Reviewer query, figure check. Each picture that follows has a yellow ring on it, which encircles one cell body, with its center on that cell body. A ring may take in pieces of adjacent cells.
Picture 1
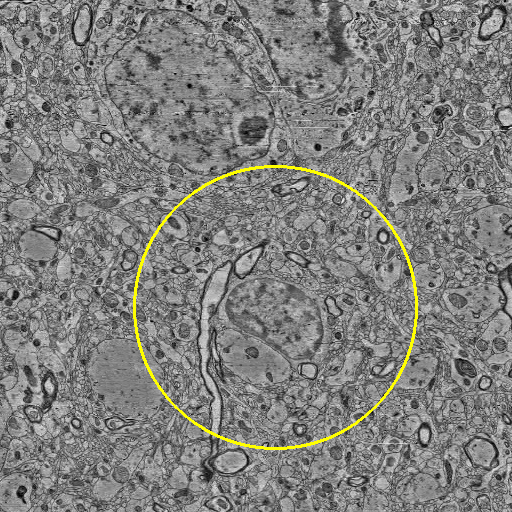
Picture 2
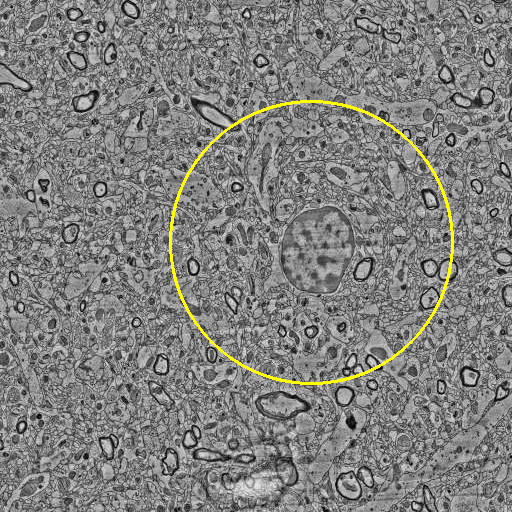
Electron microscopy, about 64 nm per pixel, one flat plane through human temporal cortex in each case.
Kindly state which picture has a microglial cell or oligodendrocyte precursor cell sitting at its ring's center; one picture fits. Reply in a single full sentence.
In picture 2, the cell at the center of the ring is the requested one.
